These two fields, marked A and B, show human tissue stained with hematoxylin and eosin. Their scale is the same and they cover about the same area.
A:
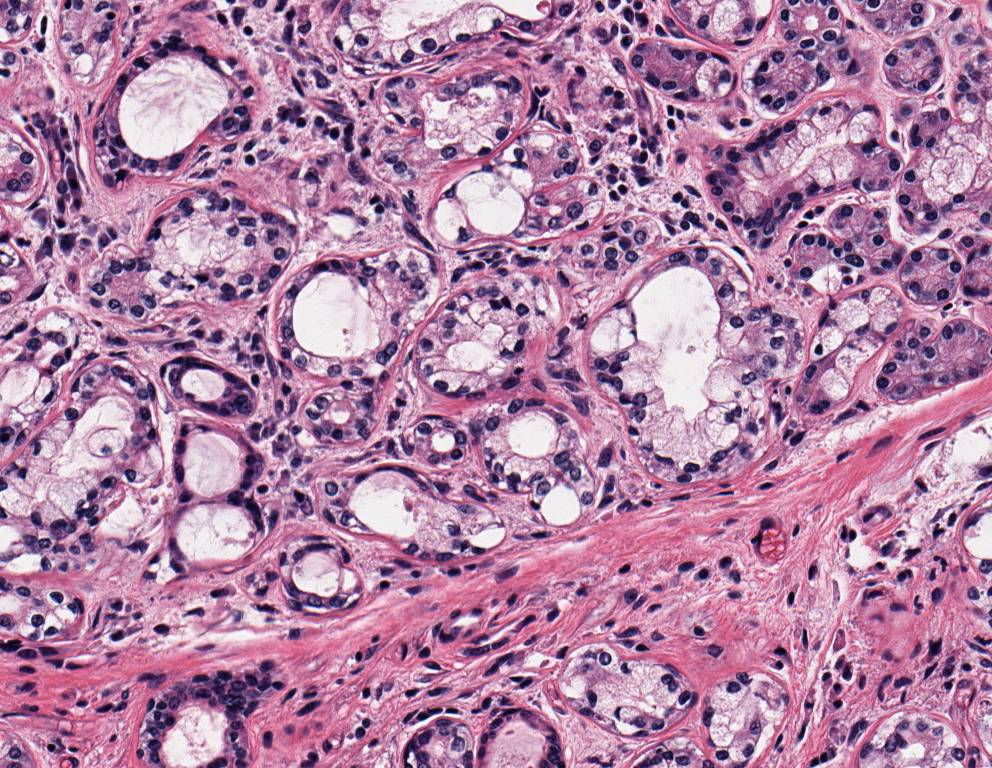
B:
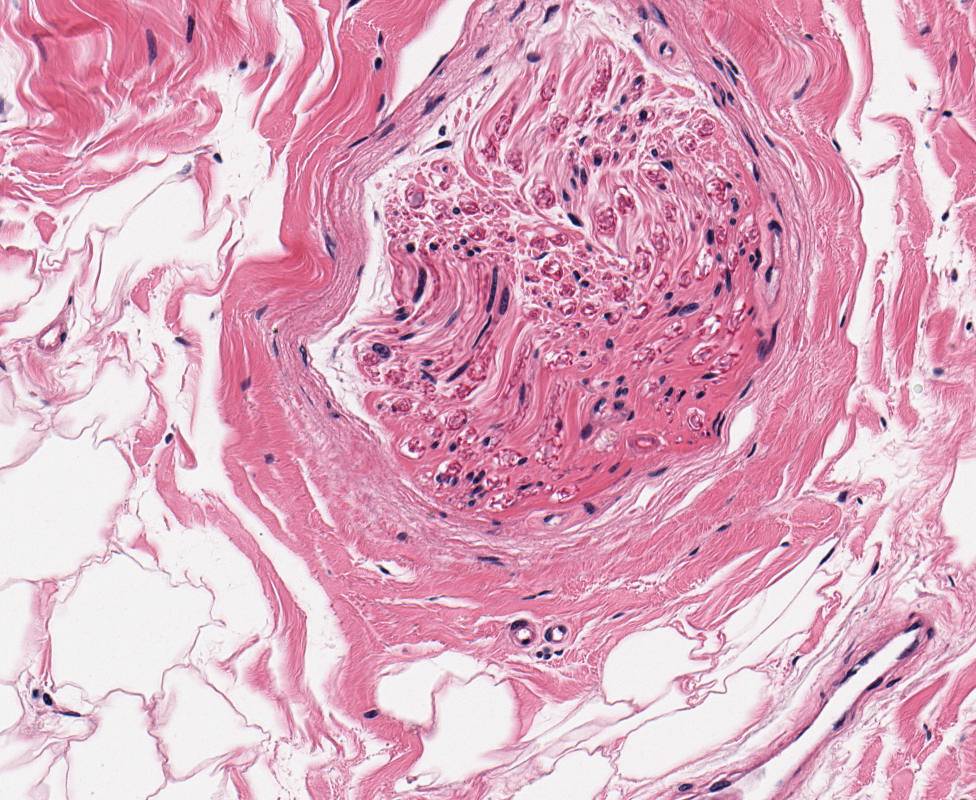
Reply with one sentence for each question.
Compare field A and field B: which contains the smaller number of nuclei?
Field B holds fewer nuclei than field A.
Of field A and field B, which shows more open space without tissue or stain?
Field B has more white space.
